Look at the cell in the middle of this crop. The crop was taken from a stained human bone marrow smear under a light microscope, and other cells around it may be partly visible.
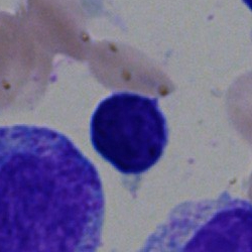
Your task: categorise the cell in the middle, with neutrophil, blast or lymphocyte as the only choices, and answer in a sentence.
The cell shown in the center of this light-microscope crop is a lymphocyte.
